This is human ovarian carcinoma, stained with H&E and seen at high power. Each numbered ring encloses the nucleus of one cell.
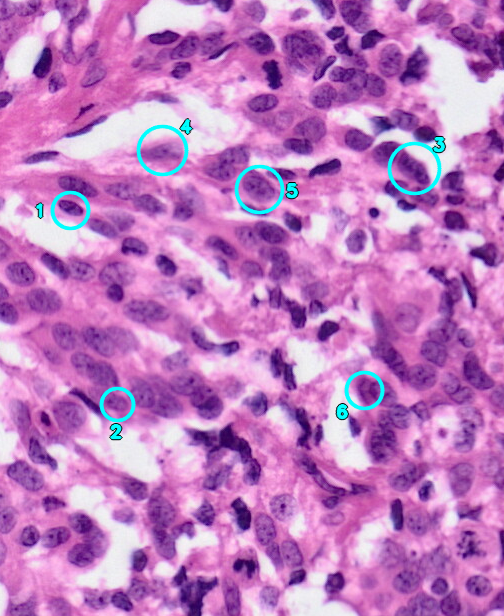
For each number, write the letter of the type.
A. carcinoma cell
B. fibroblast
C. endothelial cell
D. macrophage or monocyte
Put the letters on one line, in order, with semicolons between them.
D; A; A; B; A; A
